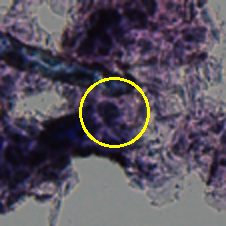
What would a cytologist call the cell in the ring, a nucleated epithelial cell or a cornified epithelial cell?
A cytologist would call it a nucleated epithelial cell.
